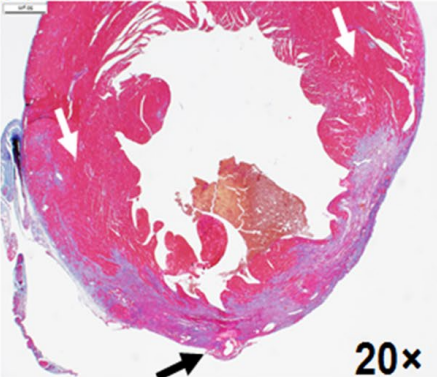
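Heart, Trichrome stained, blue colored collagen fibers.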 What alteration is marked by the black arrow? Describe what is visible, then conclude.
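Infarct area. The black arrow points at the lower wall of the heart section. The wall there is thin and stained blue rather than red.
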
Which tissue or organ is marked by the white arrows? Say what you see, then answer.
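Viable muscle tissues. The white arrows point at thick wall stained bright red.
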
